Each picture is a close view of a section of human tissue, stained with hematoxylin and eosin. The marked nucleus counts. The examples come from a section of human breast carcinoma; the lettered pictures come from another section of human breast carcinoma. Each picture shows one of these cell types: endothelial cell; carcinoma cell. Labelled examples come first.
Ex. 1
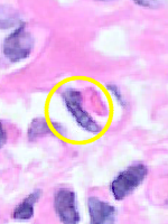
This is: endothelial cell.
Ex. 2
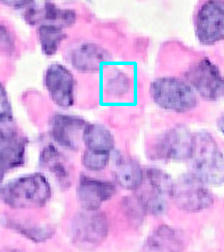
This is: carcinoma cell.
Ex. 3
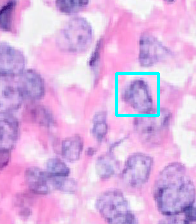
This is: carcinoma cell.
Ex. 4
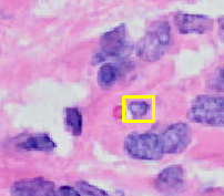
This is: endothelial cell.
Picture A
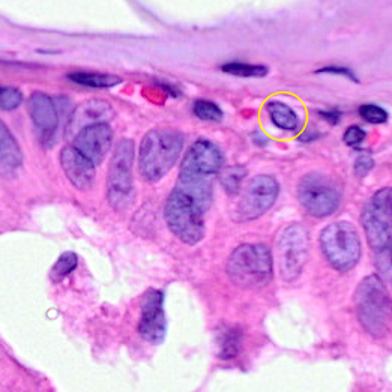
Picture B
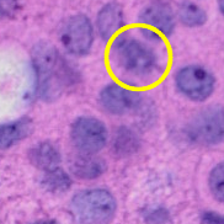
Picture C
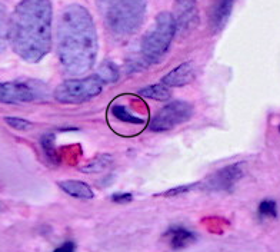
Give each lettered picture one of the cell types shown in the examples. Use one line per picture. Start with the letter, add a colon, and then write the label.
A: endothelial cell.
B: carcinoma cell.
C: endothelial cell.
